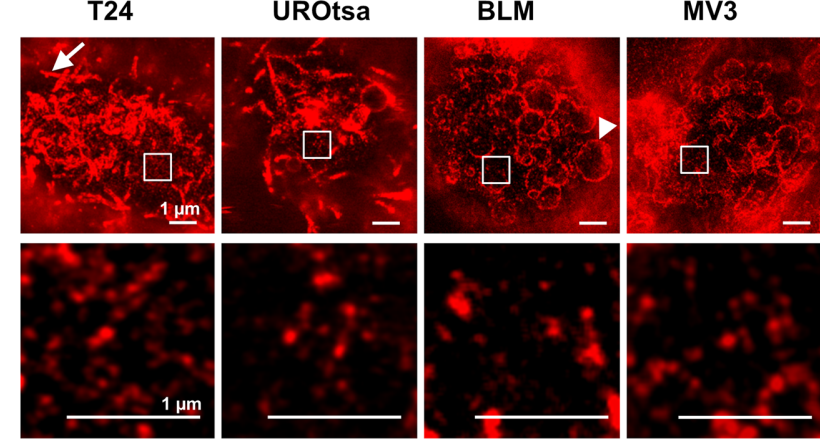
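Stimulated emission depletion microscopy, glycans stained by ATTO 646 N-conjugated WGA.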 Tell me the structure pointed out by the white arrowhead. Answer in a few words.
bleb-like protrusions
